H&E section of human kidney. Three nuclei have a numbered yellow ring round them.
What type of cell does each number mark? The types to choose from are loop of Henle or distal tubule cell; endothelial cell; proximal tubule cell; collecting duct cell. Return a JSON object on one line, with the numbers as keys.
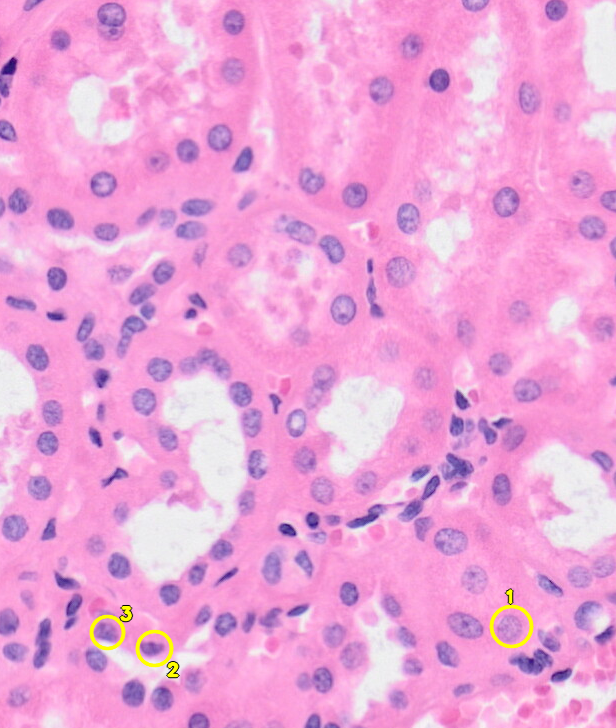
{"1": "proximal tubule cell", "2": "loop of Henle or distal tubule cell", "3": "loop of Henle or distal tubule cell"}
